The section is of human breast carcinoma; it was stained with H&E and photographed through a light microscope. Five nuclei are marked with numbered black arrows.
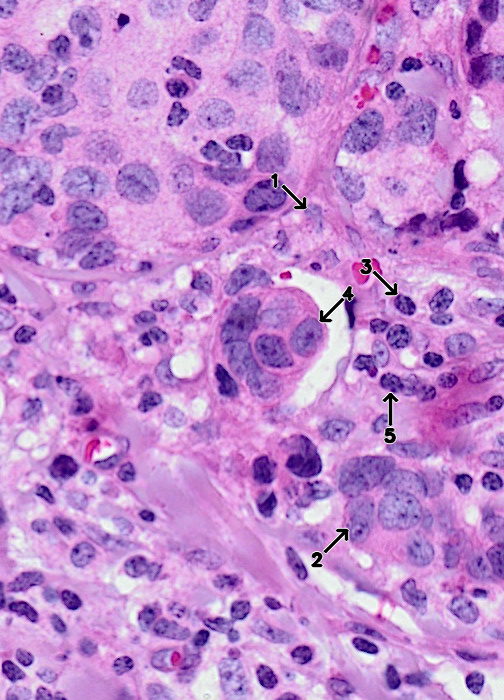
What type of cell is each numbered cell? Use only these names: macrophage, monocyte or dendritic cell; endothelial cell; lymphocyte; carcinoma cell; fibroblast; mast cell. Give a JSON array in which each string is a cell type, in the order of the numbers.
["macrophage, monocyte or dendritic cell", "carcinoma cell", "lymphocyte", "carcinoma cell", "lymphocyte"]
